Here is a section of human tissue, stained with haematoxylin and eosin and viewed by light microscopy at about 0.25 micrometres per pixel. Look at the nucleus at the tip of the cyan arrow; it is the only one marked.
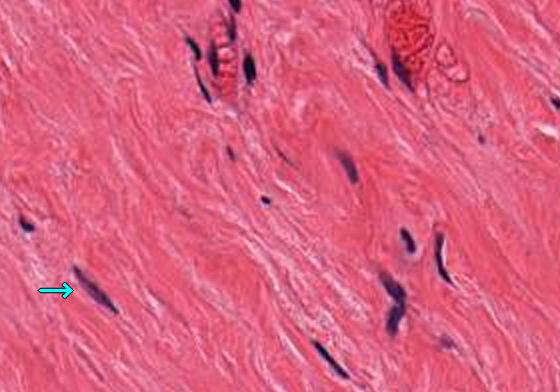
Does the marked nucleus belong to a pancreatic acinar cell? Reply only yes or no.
no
